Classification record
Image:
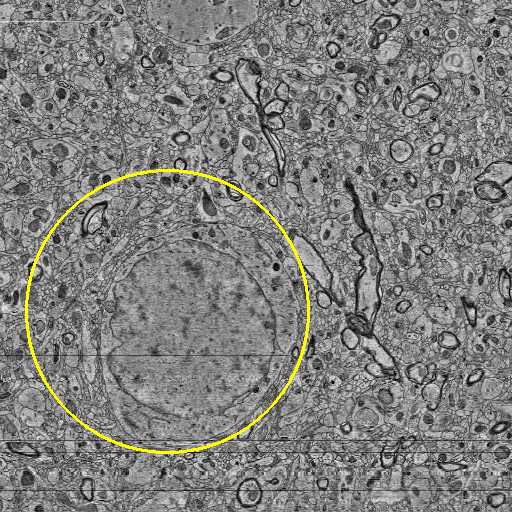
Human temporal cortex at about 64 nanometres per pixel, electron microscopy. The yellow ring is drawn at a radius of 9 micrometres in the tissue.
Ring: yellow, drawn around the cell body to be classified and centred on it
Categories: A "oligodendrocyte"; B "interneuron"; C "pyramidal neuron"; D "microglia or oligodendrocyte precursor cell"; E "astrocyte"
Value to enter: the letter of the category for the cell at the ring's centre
B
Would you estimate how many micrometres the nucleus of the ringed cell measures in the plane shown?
The nucleus of the ringed cell is approximately 11 micrometres across in this plane.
